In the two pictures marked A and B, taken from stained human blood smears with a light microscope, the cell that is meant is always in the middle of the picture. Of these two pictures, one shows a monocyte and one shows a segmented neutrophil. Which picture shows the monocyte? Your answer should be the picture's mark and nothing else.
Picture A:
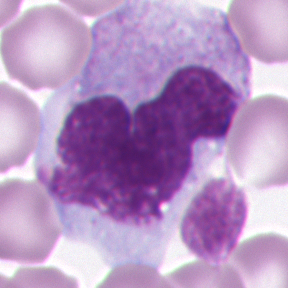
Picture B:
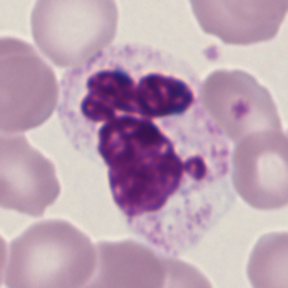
A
